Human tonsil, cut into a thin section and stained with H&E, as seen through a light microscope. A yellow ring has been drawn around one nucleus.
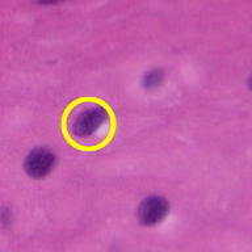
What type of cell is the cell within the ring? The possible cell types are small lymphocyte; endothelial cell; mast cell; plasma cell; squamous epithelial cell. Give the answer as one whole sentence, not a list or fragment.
By its classification, the cell within the ring is a squamous epithelial cell.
